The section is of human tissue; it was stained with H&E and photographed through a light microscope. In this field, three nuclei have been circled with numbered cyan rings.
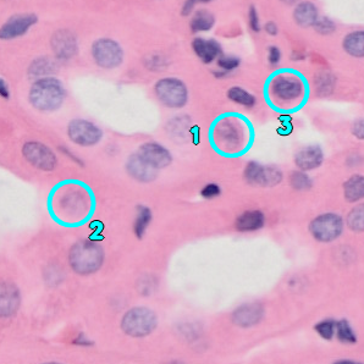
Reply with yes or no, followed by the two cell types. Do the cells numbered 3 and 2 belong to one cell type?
No, the identities are a loop of Henle or distal tubule cell for cell 3 and a proximal tubule cell for cell 2.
